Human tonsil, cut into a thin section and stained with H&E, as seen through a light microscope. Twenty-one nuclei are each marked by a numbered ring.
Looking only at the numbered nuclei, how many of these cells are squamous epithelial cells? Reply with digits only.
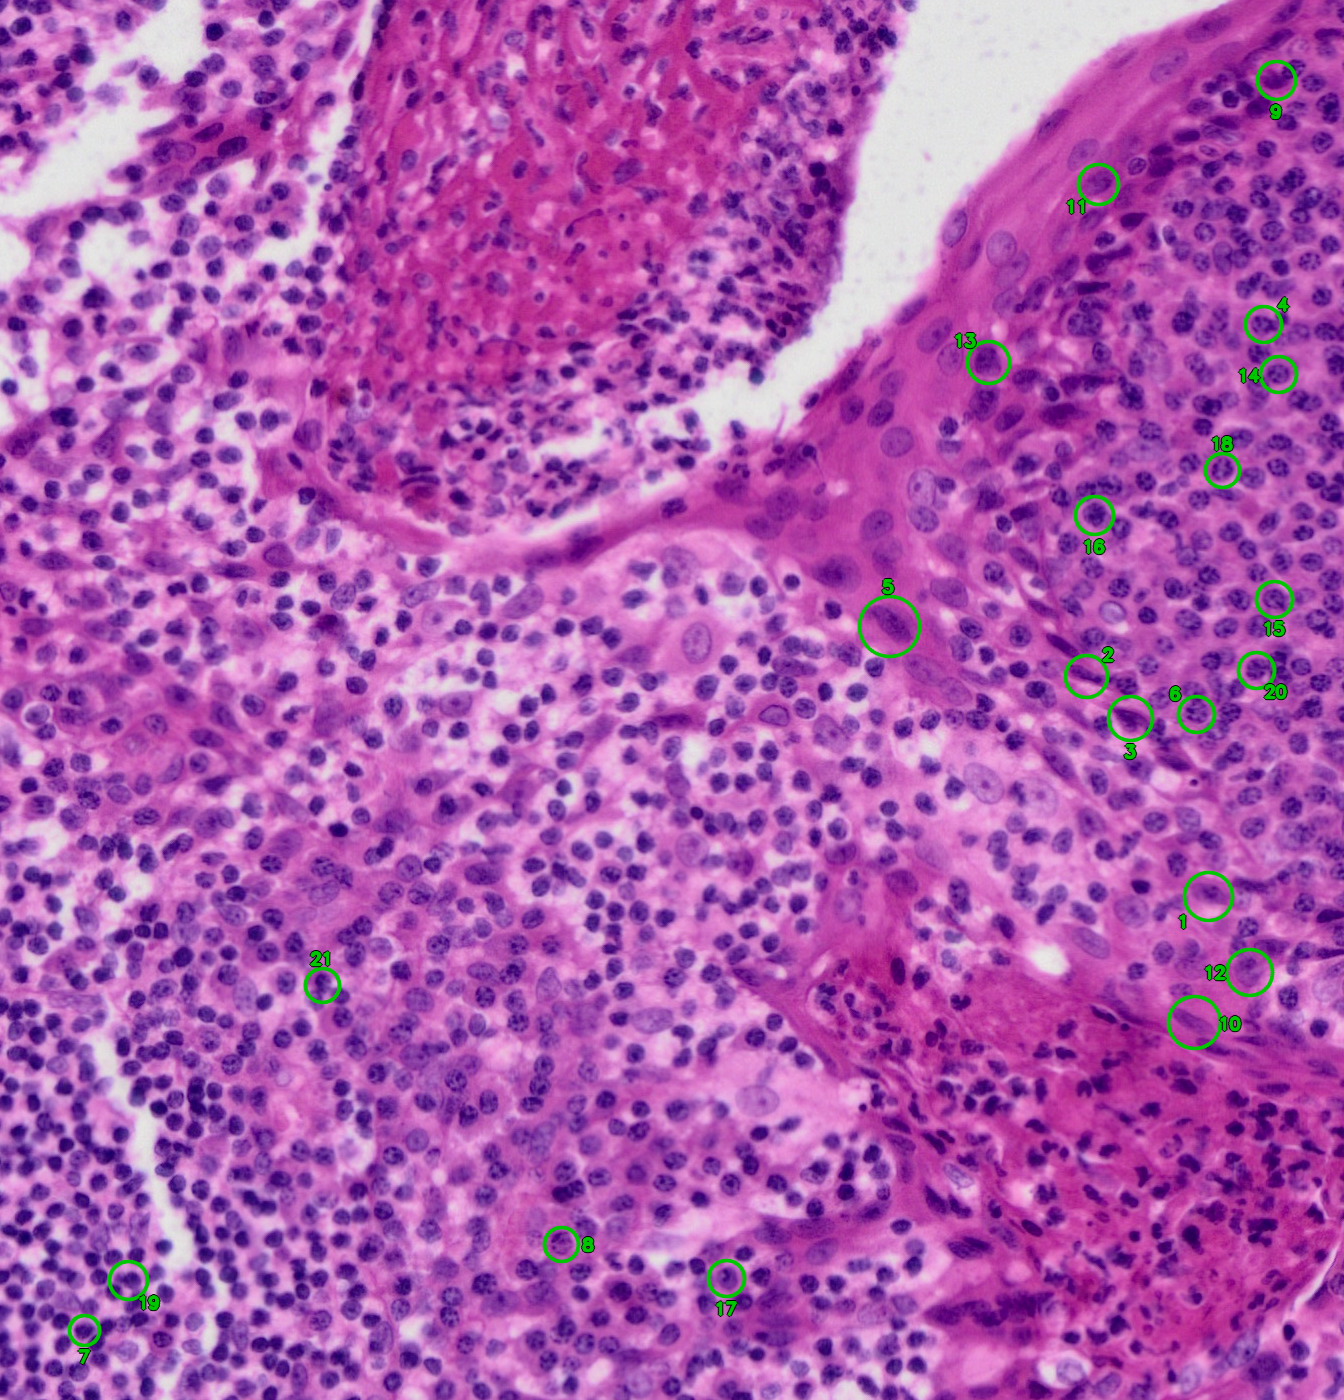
9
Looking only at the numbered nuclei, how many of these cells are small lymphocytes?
2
